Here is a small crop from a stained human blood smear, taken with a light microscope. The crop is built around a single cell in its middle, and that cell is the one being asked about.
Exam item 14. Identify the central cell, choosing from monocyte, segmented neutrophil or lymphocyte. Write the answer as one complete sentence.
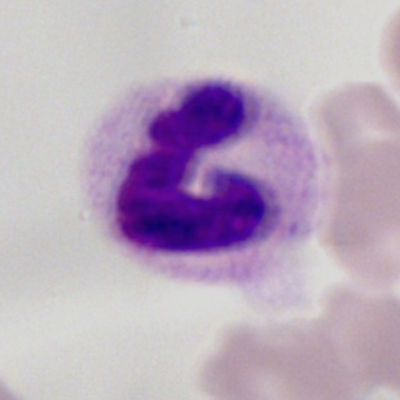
Among the cells in view, the one in the middle is a segmented neutrophil.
